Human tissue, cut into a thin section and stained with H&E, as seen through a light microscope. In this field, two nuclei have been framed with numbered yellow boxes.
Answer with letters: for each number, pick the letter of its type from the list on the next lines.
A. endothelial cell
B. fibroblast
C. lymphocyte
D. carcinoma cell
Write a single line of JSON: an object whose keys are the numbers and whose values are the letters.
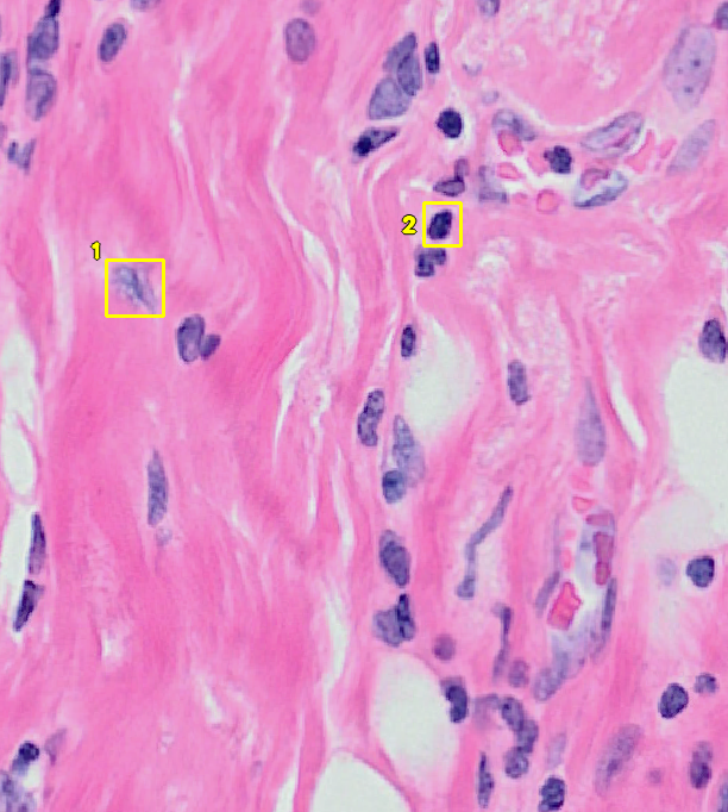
{"1": "B", "2": "C"}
